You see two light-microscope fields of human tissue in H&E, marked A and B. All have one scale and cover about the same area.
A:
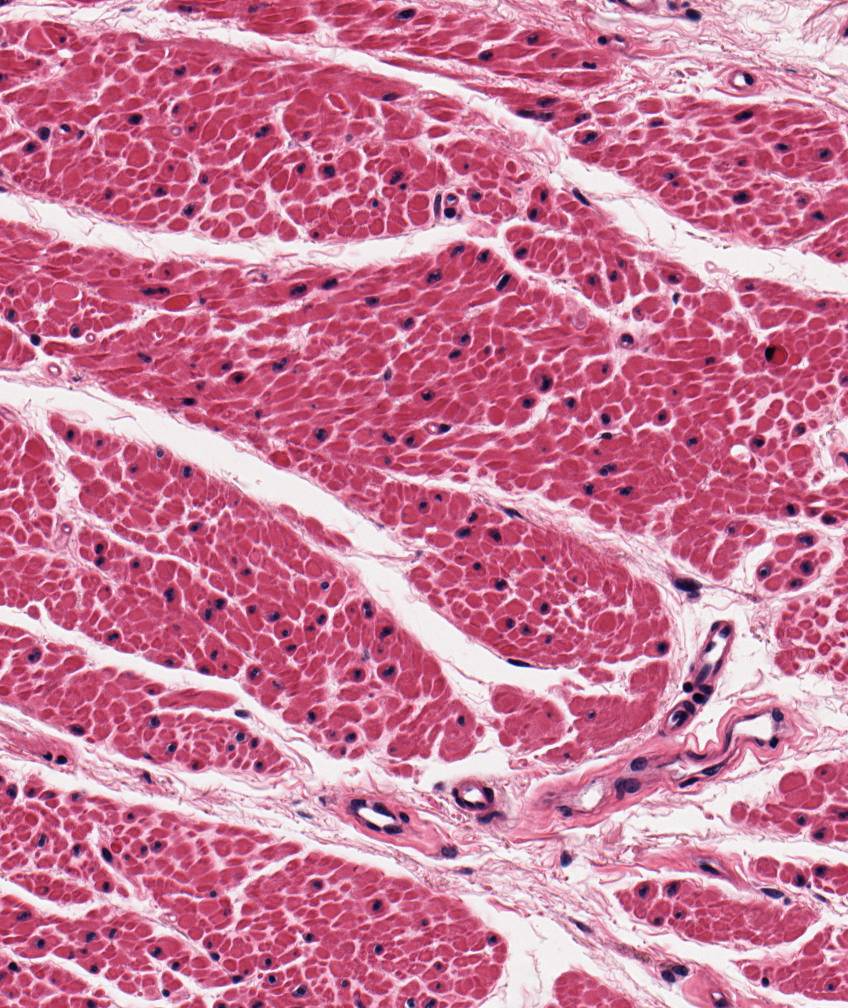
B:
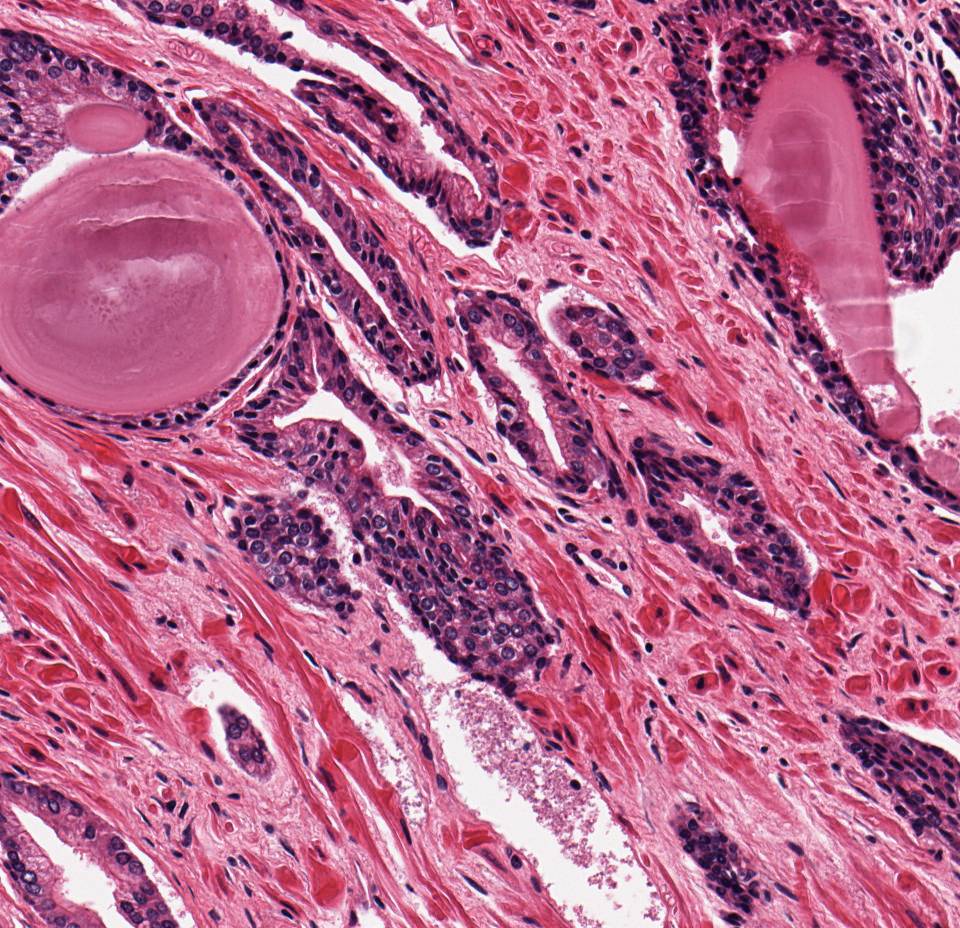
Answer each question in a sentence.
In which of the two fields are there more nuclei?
Picture B holds more nuclei than picture A.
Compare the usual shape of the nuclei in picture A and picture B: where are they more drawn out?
The nuclei are more elongated in picture B.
